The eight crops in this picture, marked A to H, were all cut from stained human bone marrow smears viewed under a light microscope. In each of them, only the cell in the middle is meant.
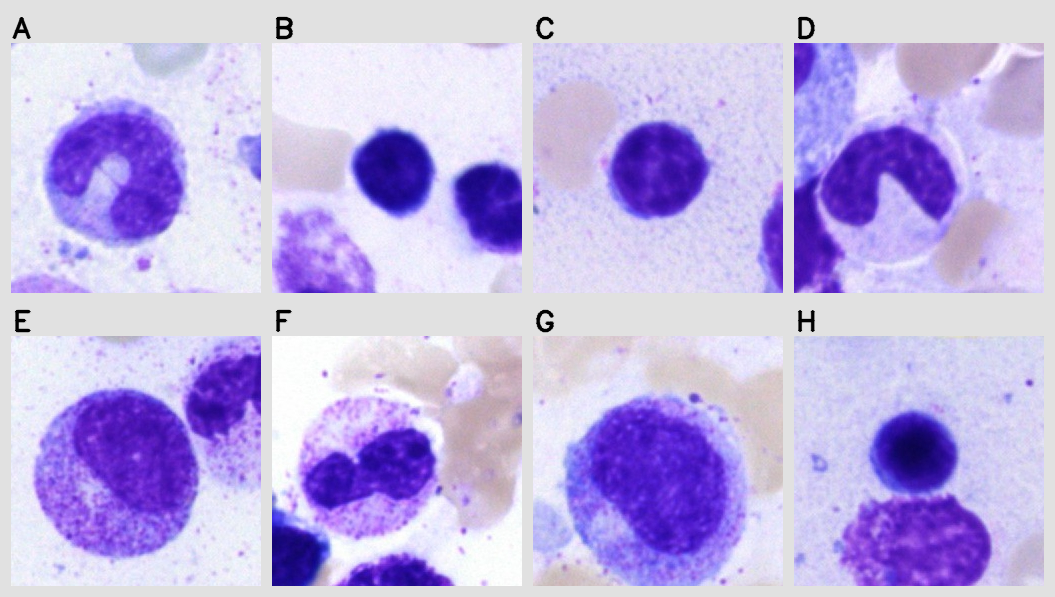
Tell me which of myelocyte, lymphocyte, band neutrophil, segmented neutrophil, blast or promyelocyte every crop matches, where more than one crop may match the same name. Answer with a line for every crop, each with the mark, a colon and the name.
A: band neutrophil
B: lymphocyte
C: lymphocyte
D: band neutrophil
E: myelocyte
F: band neutrophil
G: myelocyte
H: lymphocyte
